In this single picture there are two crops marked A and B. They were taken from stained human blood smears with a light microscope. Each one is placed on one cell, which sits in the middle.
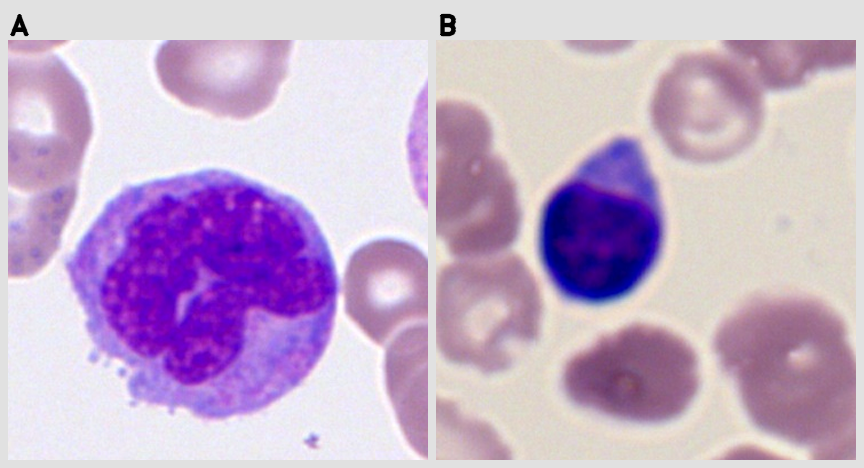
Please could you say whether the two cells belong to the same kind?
no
